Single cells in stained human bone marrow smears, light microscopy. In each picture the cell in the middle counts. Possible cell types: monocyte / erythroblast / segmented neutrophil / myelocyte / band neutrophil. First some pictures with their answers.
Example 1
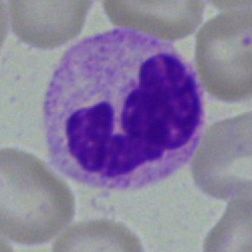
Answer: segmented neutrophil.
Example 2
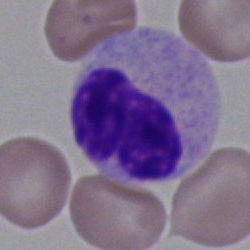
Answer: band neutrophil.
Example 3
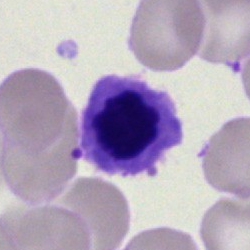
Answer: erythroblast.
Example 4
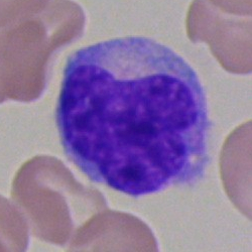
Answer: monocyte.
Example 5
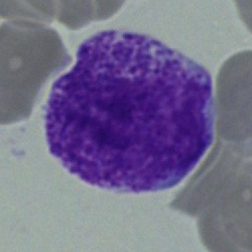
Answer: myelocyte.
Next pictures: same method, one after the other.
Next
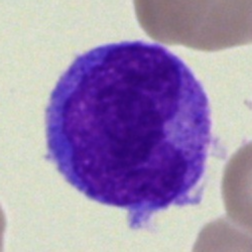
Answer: monocyte.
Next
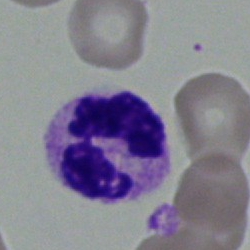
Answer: segmented neutrophil.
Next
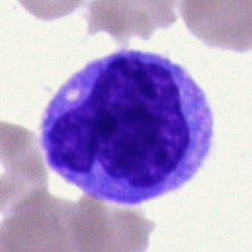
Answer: monocyte.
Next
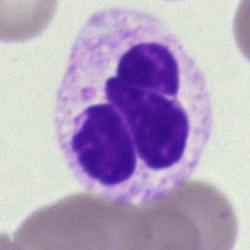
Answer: segmented neutrophil.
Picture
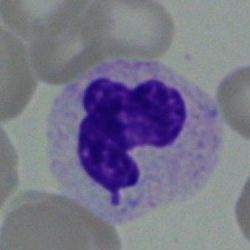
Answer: segmented neutrophil.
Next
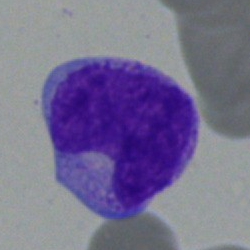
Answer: monocyte.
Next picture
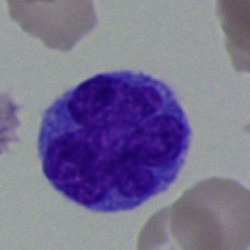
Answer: monocyte.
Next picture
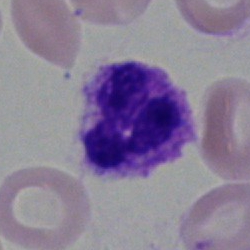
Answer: segmented neutrophil.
